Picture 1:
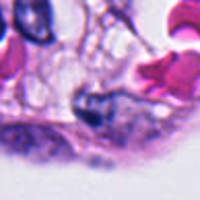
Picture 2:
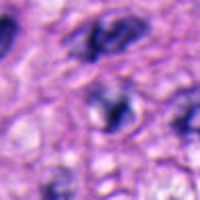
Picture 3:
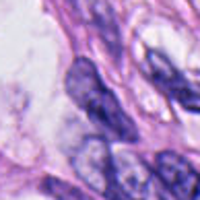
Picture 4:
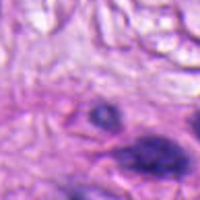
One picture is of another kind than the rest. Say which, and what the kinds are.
Picture 1 shows a cytotrophoblast; the rest show vascular myocytes.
